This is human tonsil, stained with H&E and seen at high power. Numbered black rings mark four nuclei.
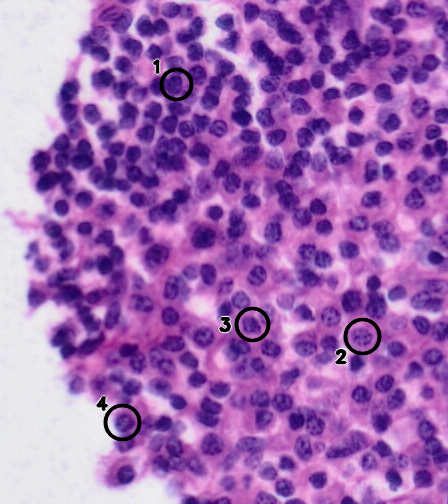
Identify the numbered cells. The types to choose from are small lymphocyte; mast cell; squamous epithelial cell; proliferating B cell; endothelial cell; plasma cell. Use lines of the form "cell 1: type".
cell 1: small lymphocyte
cell 2: plasma cell
cell 3: plasma cell
cell 4: plasma cell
